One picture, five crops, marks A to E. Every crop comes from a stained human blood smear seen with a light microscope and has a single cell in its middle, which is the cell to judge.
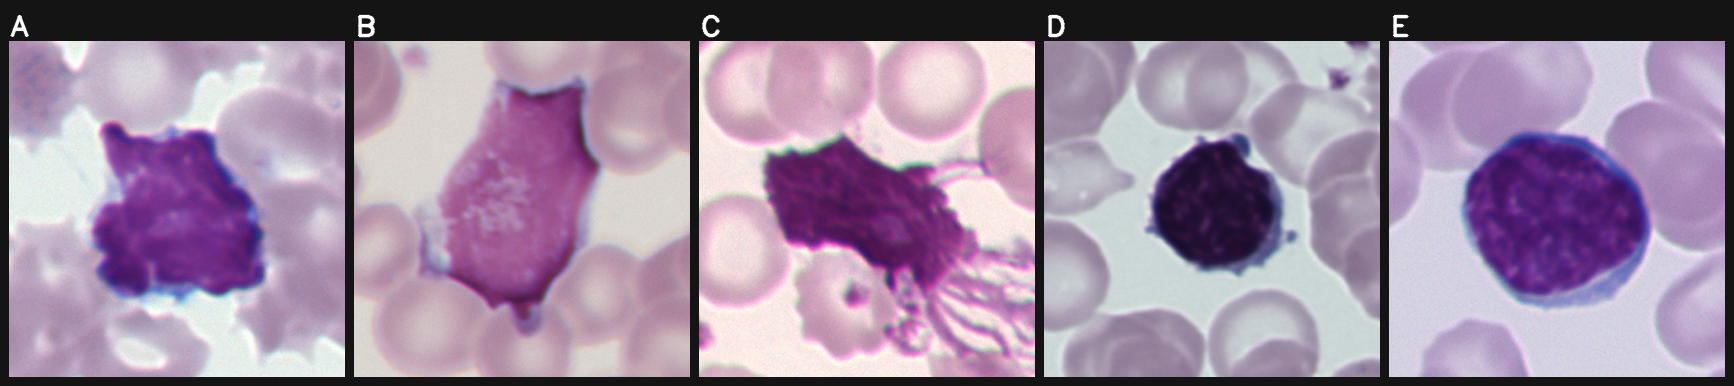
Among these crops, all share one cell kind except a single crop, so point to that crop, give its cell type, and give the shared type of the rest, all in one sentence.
Crop C is not like the others: it is a smudge cell, and they are typical lymphocytes.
